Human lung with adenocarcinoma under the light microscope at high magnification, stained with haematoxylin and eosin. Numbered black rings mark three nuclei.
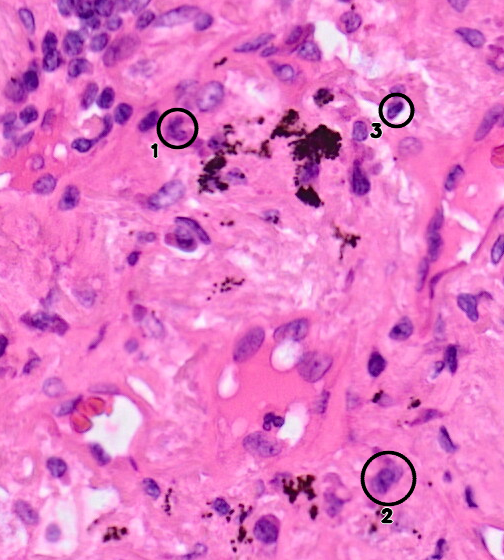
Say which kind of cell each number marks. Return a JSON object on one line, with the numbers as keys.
{"1": "plasma cell", "2": "plasma cell", "3": "lymphocyte"}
